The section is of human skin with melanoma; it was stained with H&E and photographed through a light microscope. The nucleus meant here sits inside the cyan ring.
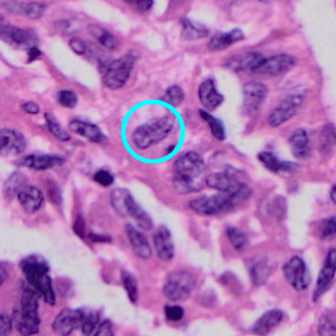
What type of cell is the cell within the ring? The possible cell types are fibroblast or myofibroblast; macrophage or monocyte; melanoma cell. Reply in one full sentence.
At the level of cell identity, the cell within the ring is a melanoma cell.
